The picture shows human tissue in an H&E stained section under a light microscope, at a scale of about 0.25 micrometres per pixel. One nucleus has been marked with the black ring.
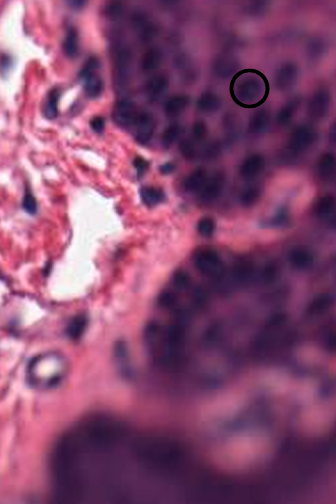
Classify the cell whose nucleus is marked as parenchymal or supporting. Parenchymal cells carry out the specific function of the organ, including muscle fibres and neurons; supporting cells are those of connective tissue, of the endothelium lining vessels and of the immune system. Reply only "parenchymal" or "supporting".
parenchymal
